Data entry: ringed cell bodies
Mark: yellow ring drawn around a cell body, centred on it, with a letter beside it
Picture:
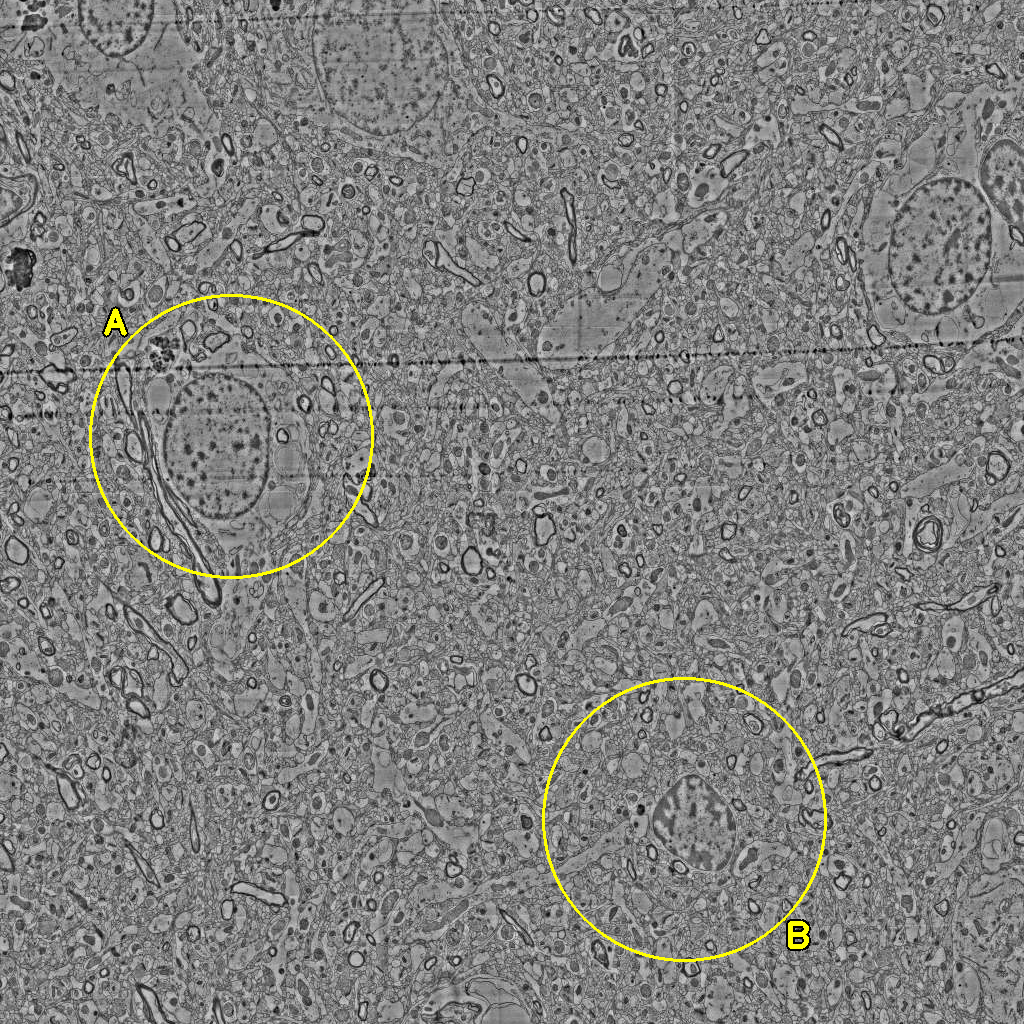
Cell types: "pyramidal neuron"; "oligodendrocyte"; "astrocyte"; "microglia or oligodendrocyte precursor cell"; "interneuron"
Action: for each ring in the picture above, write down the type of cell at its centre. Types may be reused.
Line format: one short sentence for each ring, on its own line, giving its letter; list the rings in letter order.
For ring A, the cell at the centre is an astrocyte.
For ring B, the cell at the centre is a microglial cell or oligodendrocyte precursor cell.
